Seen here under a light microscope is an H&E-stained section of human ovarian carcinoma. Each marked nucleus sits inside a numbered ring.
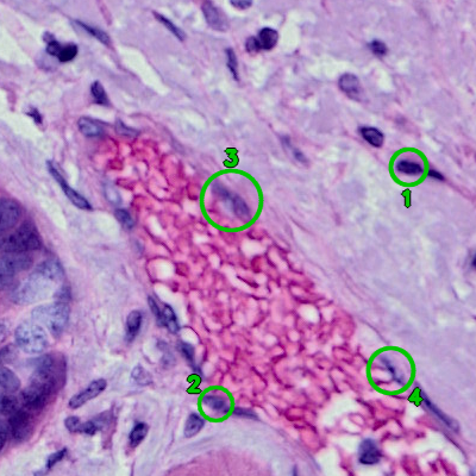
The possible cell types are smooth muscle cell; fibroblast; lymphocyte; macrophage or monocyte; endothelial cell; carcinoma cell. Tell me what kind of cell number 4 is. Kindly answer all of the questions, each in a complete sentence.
Looking at the numbered marks, cell 4 is an endothelial cell.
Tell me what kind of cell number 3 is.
Here the cell numbered 3 is an endothelial cell.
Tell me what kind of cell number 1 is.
The cell identified by number 1 is a lymphocyte.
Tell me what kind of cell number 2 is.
What the number 2 marks in this field is an endothelial cell.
